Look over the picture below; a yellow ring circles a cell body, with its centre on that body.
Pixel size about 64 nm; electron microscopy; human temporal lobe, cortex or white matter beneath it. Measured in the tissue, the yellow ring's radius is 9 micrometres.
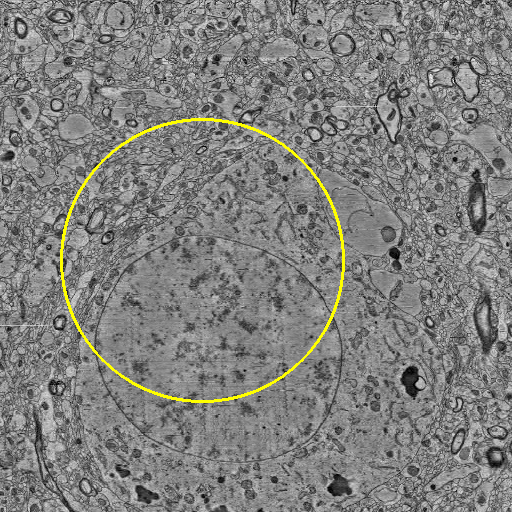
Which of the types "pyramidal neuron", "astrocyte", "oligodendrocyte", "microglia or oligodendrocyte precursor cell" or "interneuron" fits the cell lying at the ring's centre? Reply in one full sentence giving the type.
The picture shows a pyramidal neuron at the centre of the yellow ring.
